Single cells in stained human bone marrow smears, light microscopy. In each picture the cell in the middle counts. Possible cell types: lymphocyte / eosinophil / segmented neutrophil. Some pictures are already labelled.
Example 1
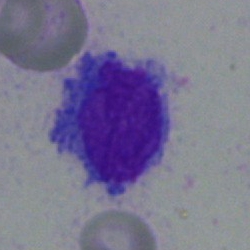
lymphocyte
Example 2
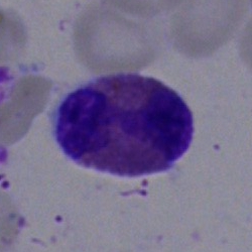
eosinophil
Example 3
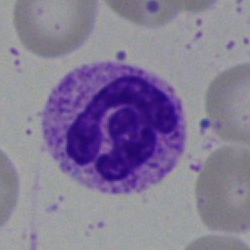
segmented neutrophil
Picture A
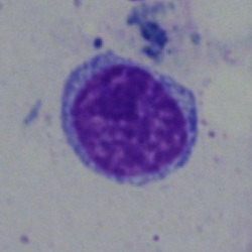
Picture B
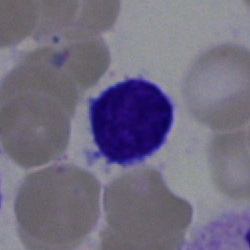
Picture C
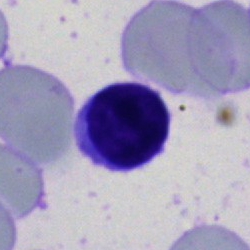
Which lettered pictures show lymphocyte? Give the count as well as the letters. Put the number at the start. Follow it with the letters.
3, namely A, B, C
